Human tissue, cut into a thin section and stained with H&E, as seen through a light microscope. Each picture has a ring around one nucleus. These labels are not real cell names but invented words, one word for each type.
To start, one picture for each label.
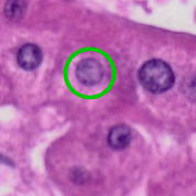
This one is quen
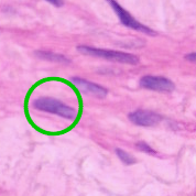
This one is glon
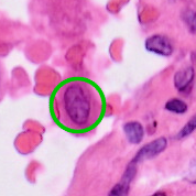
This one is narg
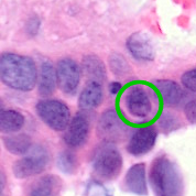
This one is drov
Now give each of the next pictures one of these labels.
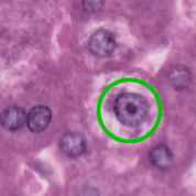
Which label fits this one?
quen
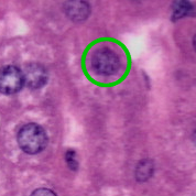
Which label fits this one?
quen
